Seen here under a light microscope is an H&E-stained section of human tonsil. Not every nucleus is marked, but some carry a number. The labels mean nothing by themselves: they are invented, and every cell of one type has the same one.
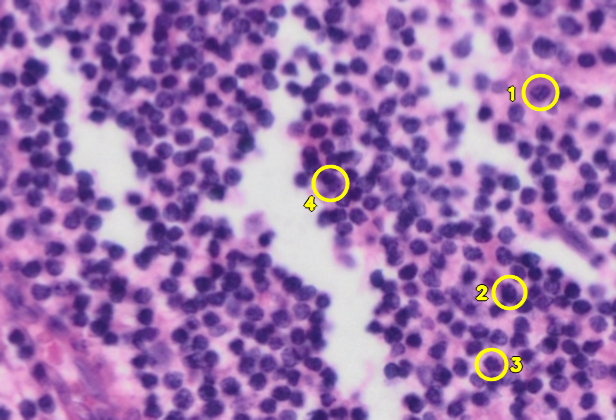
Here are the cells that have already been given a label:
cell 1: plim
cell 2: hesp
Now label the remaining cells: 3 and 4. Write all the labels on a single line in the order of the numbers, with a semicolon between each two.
hesp; hesp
